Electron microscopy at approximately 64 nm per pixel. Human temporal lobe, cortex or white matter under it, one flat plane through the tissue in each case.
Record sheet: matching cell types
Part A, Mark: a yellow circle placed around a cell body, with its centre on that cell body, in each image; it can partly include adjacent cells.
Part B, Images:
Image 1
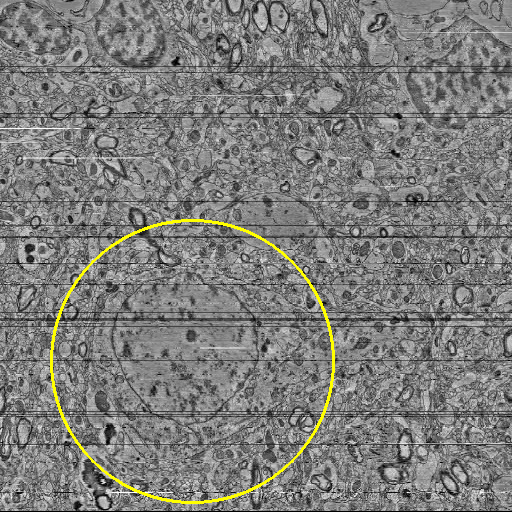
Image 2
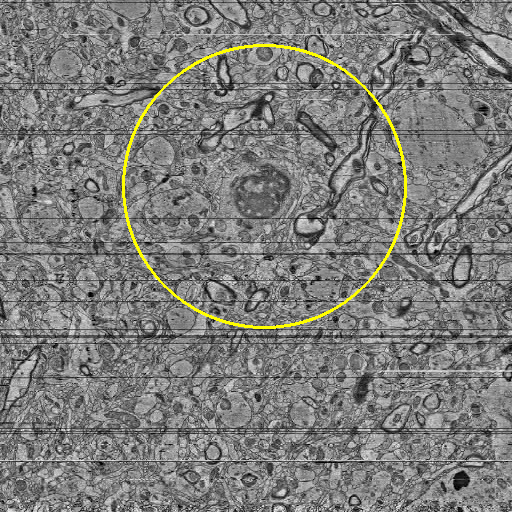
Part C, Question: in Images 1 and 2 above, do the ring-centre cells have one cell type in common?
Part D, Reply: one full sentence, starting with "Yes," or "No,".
No, the ring-centre cells of Image 1 and Image 2 are each of a separate cell type.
